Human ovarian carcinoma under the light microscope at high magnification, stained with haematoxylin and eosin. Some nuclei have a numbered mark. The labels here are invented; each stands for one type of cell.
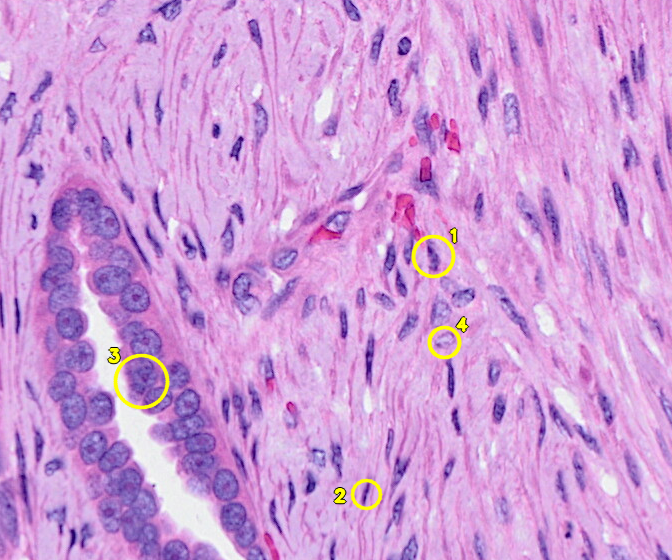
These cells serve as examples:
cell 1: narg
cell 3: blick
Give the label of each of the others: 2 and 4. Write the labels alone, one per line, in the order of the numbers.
narg
narg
